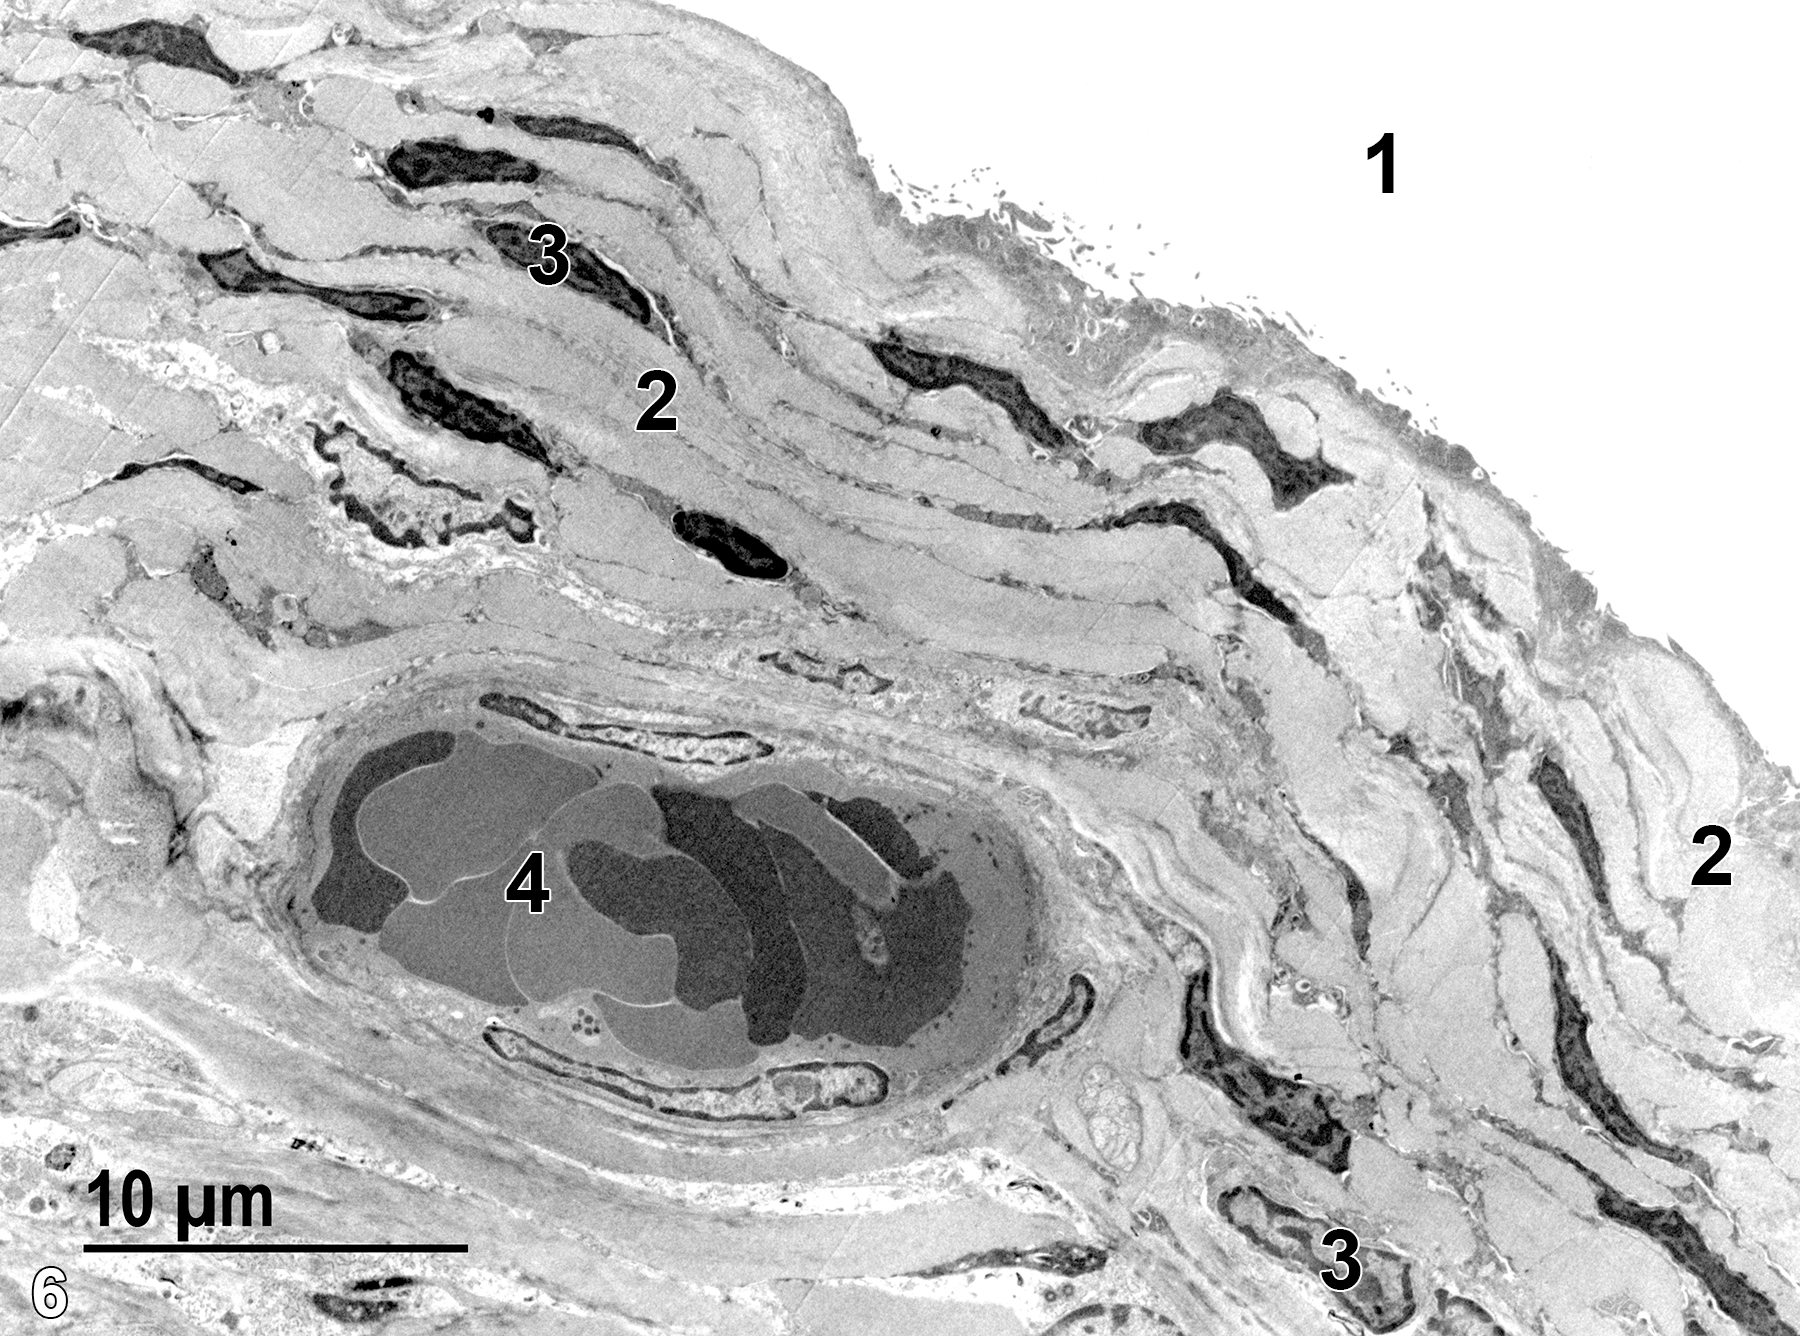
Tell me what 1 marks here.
At 1: peritoneal cavity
